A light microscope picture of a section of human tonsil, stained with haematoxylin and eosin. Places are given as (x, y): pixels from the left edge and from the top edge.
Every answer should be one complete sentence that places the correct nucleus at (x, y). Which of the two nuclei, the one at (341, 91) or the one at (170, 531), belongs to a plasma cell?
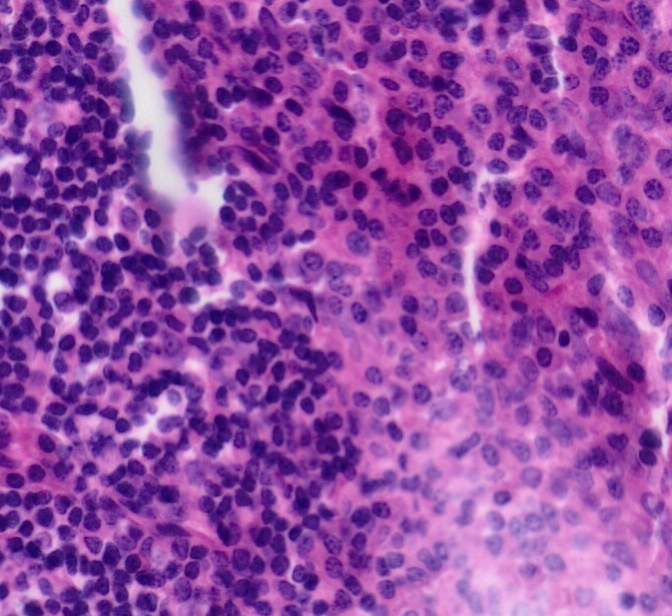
Here the nucleus at (341, 91) is the one that belongs to a plasma cell.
